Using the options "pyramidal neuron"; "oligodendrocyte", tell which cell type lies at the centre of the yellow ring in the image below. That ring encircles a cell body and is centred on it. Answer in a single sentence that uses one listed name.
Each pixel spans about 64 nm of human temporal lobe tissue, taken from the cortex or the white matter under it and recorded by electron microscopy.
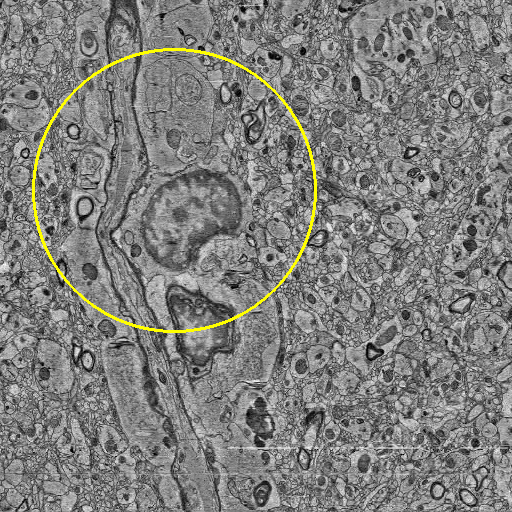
At the centre of the yellow ring lies the body of an oligodendrocyte.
